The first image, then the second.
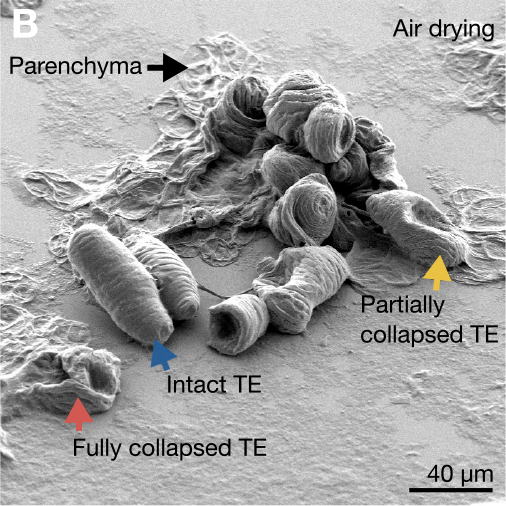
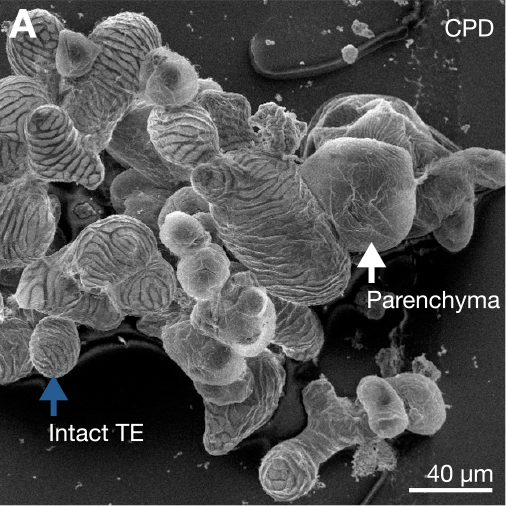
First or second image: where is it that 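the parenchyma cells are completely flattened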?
The first image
